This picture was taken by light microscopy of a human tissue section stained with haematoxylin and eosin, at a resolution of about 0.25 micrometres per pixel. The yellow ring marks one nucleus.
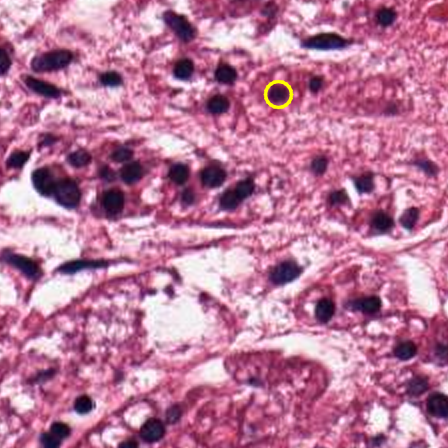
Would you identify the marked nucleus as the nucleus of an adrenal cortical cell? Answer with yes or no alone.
yes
